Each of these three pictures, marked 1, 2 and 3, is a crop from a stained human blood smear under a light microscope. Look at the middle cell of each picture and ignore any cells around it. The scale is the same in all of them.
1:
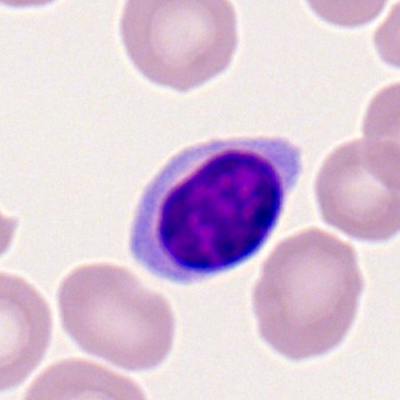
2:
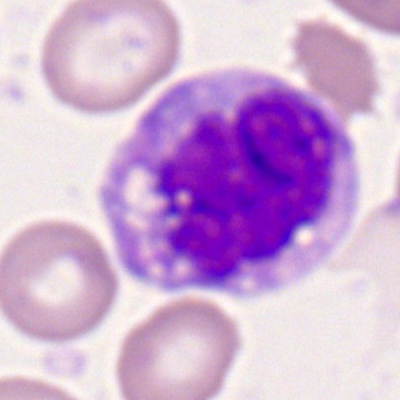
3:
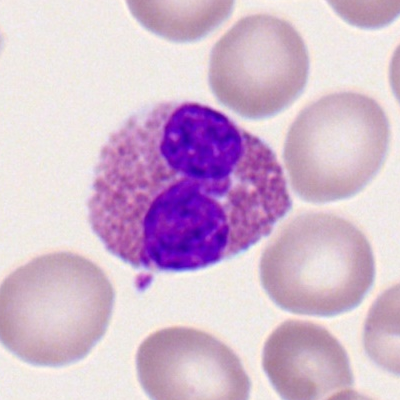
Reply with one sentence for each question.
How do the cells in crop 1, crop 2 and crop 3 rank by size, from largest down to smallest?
The order is 2, 3, 1, beginning with the largest.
